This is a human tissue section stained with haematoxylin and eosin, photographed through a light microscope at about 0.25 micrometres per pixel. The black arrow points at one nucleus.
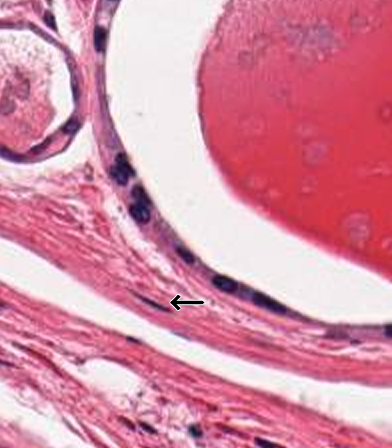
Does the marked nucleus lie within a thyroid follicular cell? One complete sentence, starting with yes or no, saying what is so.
No, the marked nucleus, which belongs to a supporting cell, is not part of a thyroid follicular cell.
